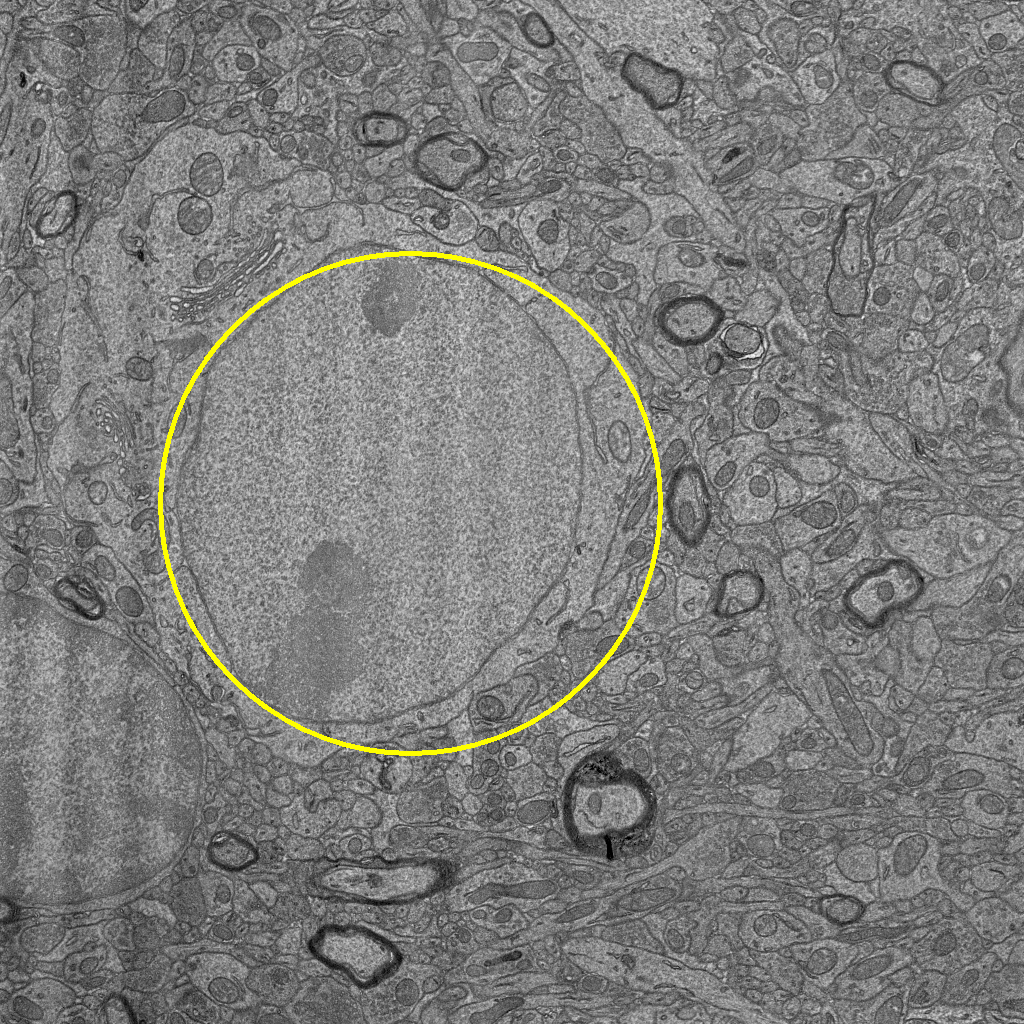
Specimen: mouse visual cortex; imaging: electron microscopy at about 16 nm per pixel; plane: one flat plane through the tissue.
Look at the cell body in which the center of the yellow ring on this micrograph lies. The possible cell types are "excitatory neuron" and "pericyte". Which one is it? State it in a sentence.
The cell at the middle of the ring is an excitatory neuron.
